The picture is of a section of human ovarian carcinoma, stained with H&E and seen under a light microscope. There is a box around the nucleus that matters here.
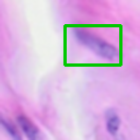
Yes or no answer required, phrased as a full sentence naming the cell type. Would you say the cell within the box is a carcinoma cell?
No, mate, the cell within the box is a smooth muscle cell rather than a carcinoma cell.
